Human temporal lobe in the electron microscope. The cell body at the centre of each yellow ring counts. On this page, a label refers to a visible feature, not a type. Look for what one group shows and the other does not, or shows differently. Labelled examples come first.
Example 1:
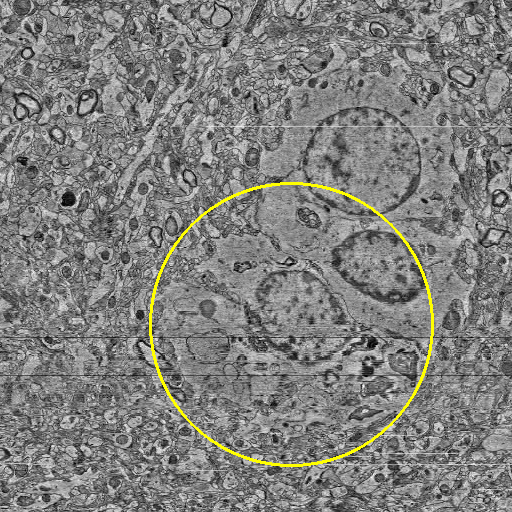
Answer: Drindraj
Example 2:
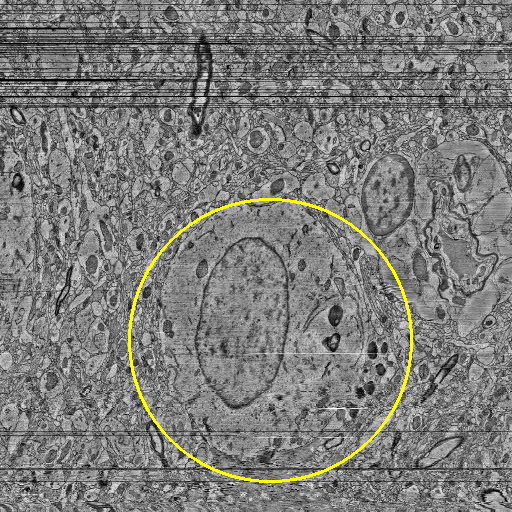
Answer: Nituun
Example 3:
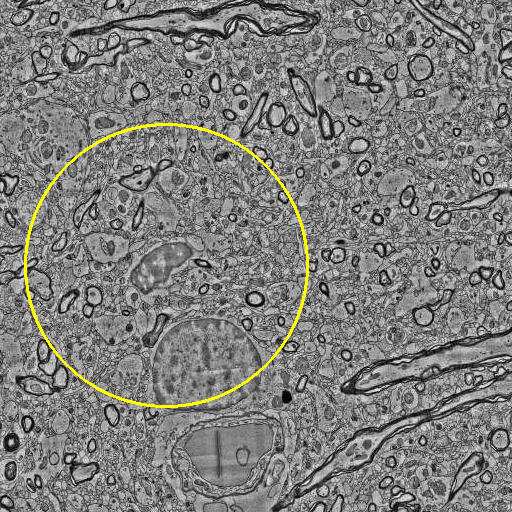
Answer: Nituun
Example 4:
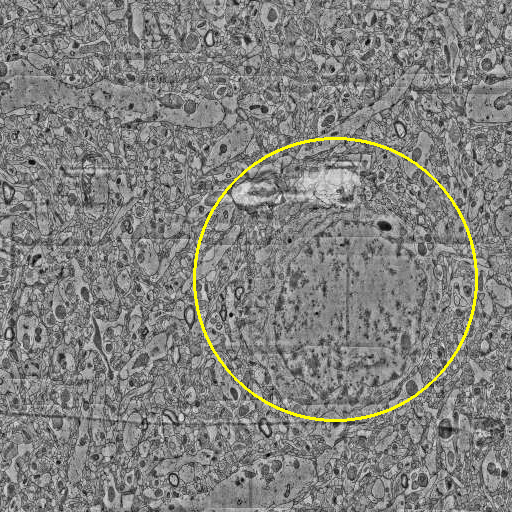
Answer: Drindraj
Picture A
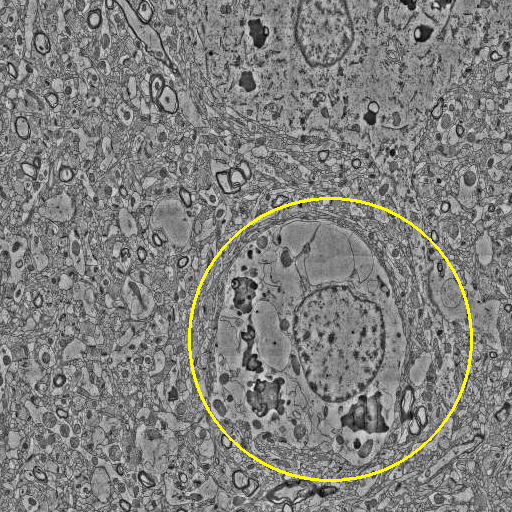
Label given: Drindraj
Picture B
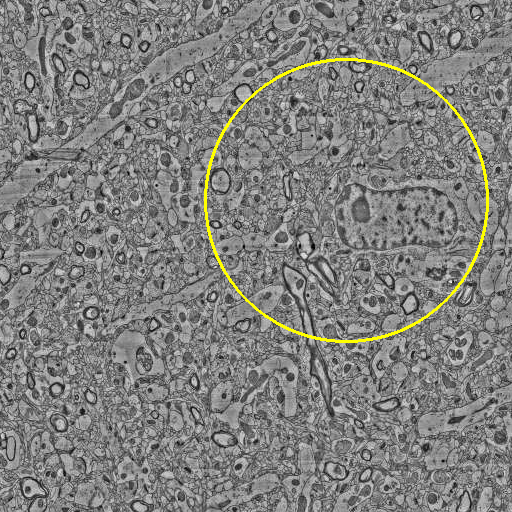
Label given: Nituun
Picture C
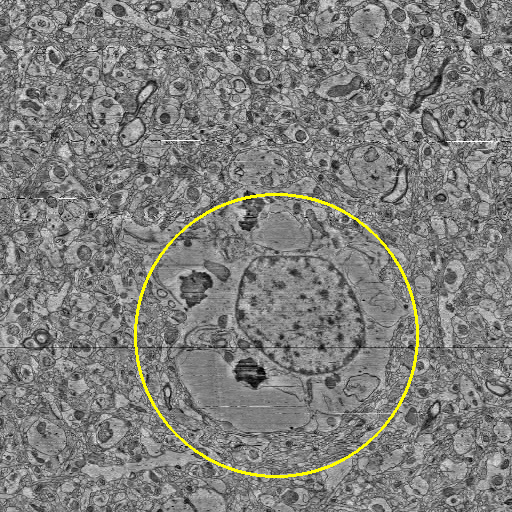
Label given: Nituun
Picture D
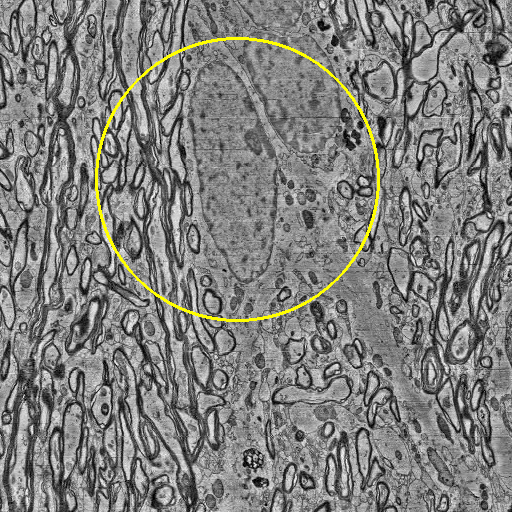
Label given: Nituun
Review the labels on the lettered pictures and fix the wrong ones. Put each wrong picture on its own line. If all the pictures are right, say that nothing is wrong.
C: not Nituun but Drindraj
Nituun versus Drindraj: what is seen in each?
Seen in Nituun: clearly elongated nuclei; seen in Drindraj: round or nearly round nuclei.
